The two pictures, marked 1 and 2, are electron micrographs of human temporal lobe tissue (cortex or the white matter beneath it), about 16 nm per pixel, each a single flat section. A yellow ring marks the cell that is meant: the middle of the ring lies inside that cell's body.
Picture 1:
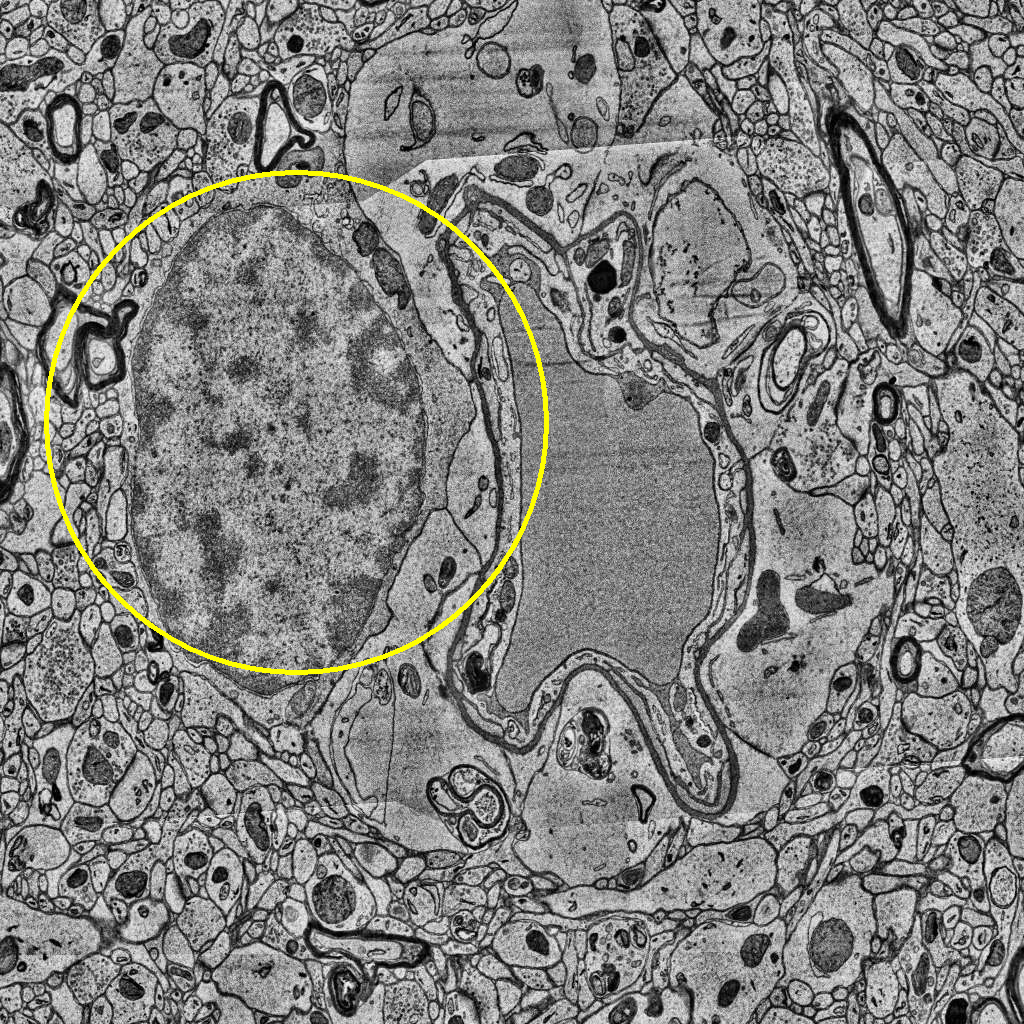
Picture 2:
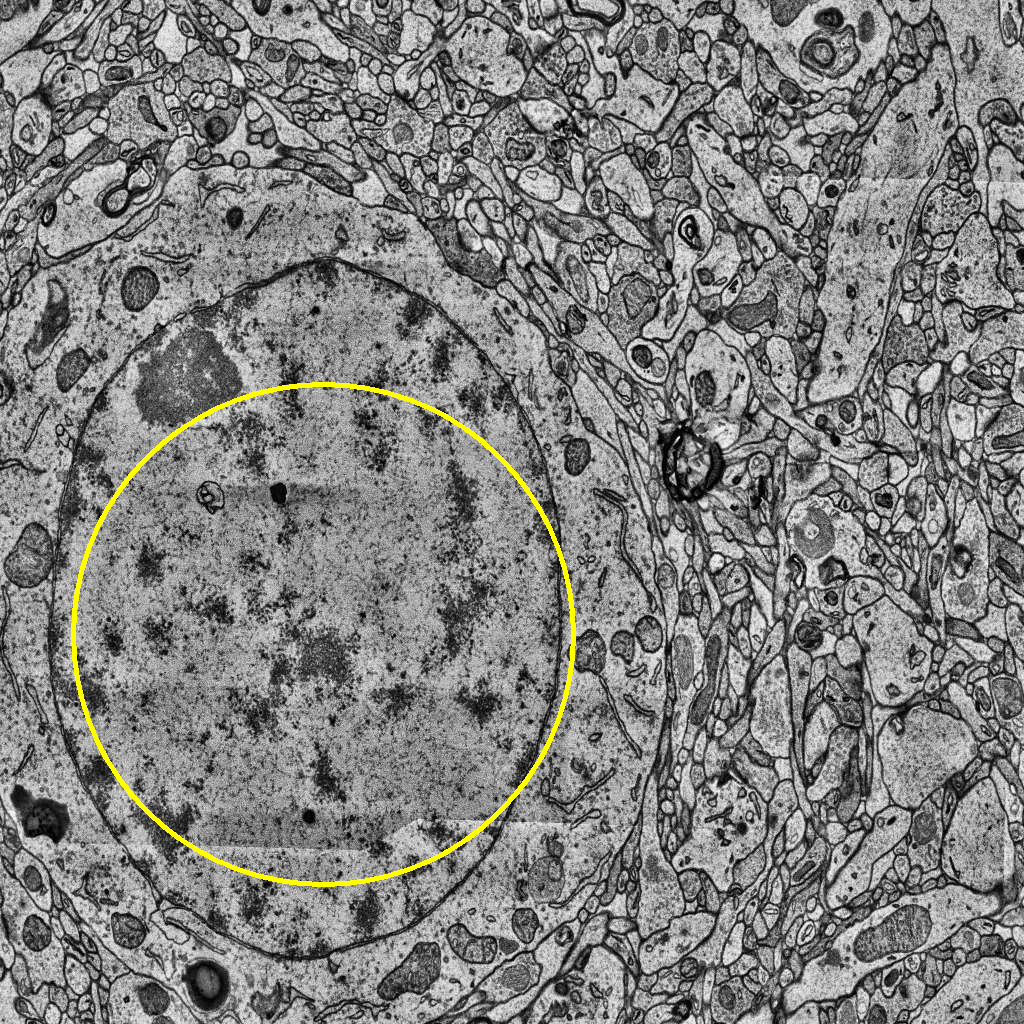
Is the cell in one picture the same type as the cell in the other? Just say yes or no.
no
